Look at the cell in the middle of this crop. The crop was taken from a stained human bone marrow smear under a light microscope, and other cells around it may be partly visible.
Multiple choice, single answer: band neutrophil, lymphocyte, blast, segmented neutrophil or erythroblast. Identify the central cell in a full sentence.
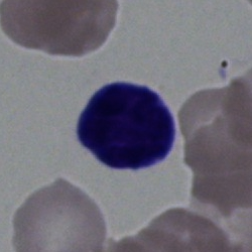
To answer, the cell in the center of the crop is a lymphocyte.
